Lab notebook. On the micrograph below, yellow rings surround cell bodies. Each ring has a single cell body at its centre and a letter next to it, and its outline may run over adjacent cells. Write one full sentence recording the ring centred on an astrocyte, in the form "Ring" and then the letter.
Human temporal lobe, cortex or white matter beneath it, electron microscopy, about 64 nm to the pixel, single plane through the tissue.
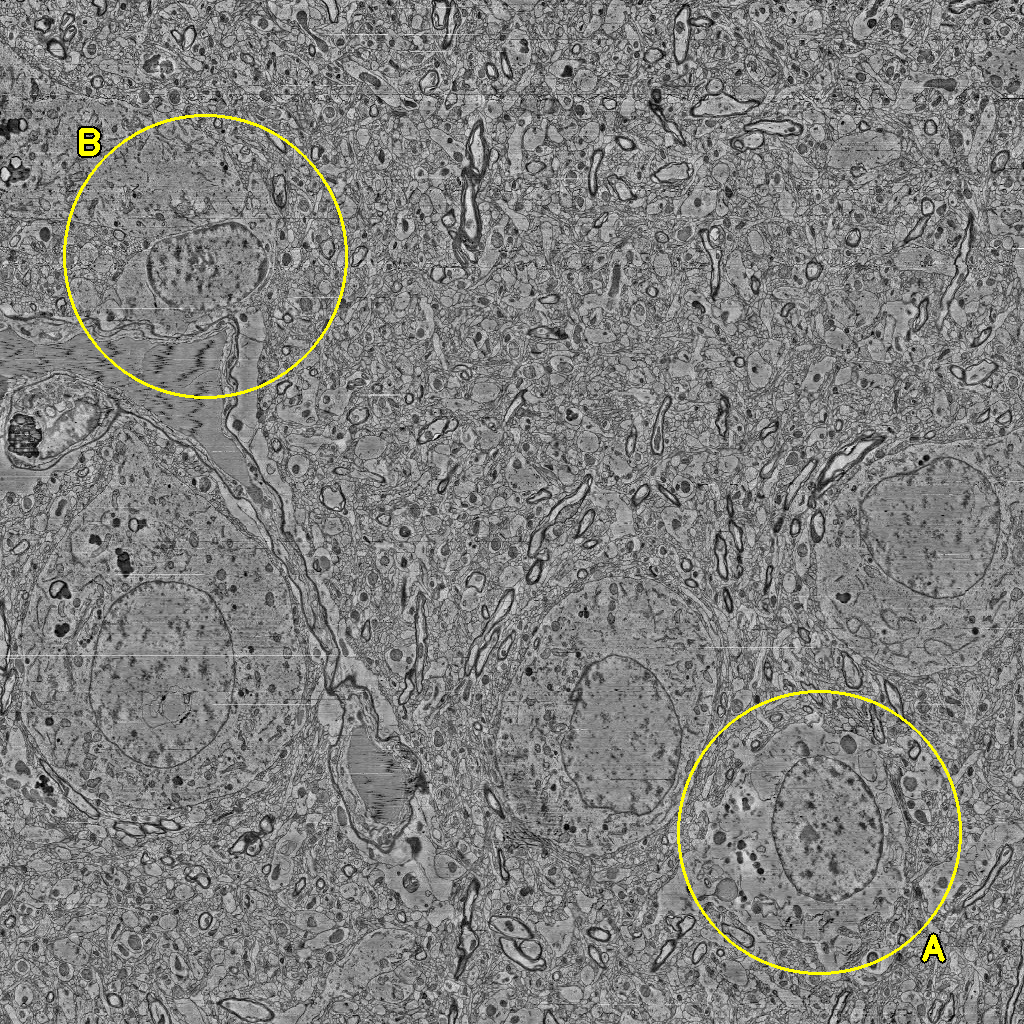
My answer is Ring A, the ring centred on a cell of that kind.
